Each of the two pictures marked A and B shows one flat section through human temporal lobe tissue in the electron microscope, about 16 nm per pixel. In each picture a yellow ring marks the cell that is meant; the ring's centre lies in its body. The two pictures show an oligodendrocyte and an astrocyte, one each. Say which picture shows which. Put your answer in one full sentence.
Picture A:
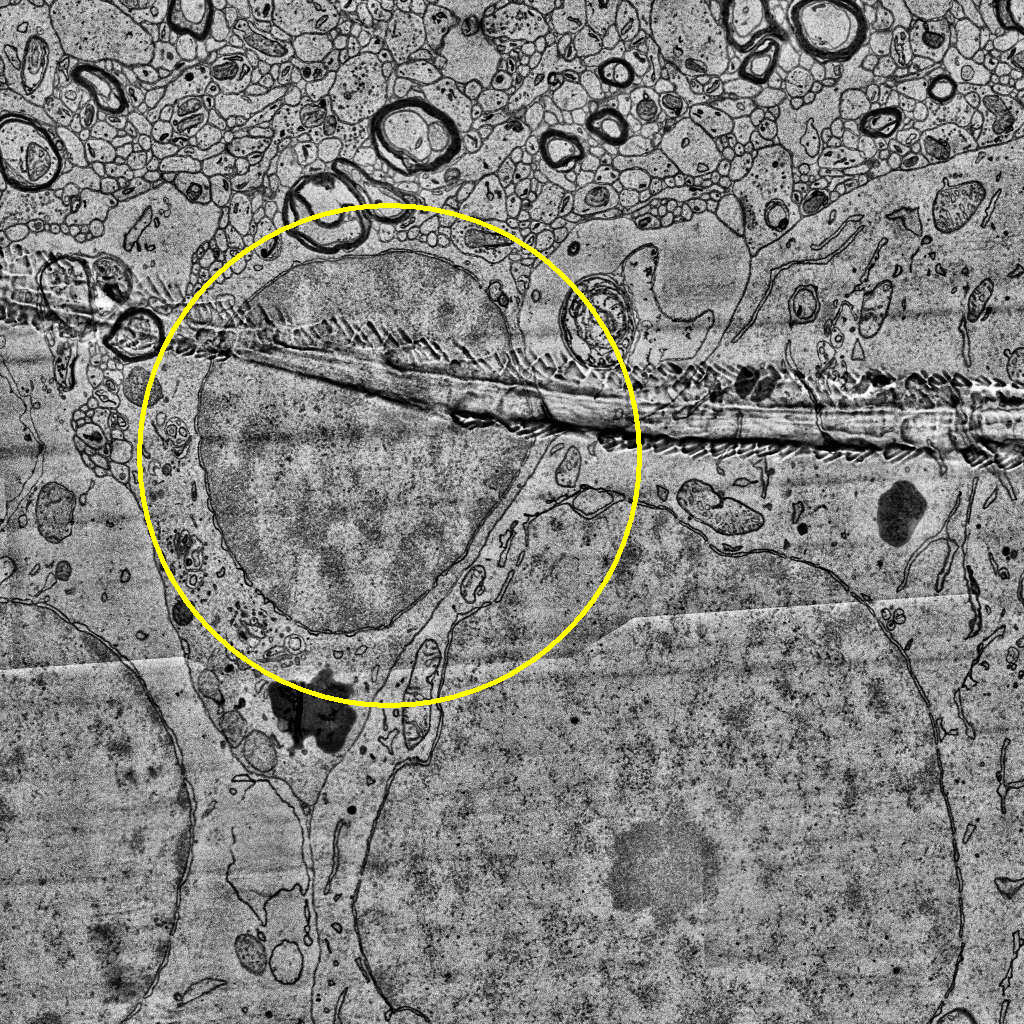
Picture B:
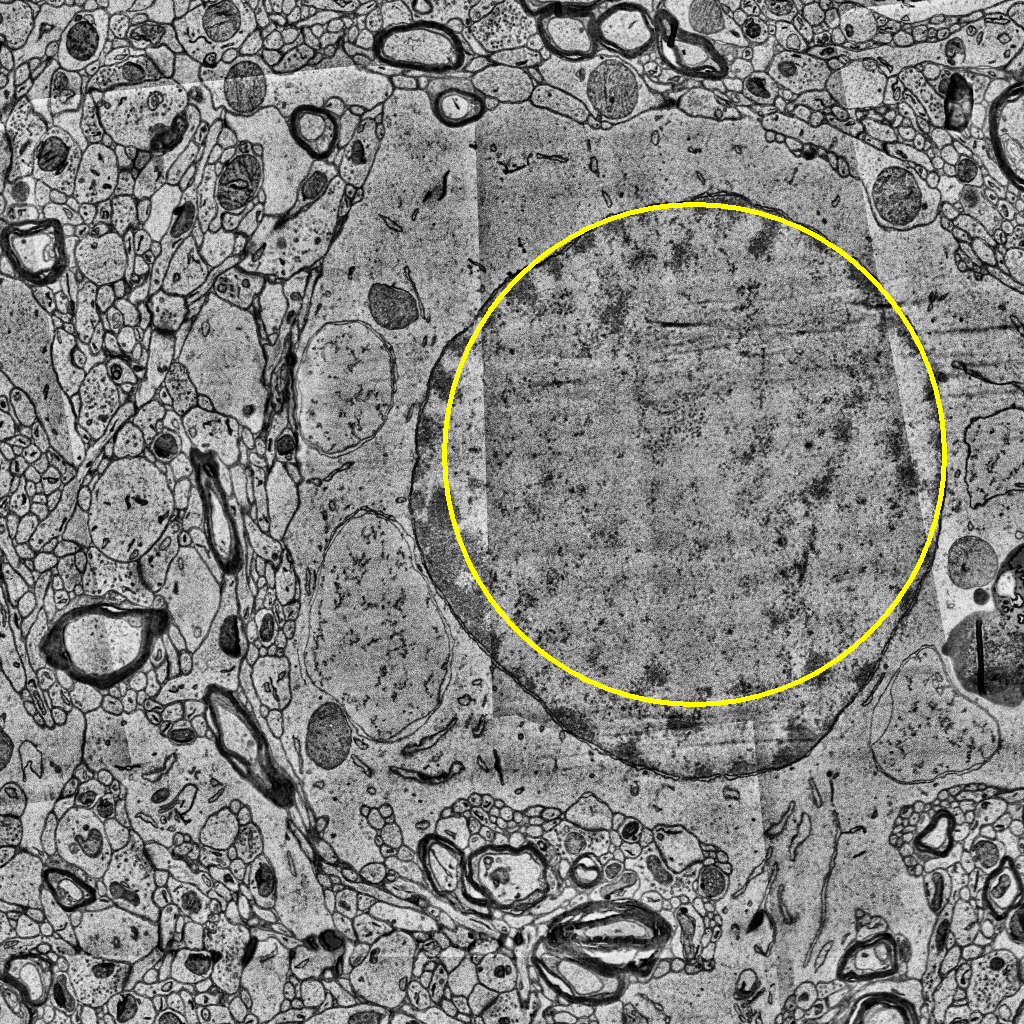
It is picture A that shows an oligodendrocyte, and picture B that shows an astrocyte.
